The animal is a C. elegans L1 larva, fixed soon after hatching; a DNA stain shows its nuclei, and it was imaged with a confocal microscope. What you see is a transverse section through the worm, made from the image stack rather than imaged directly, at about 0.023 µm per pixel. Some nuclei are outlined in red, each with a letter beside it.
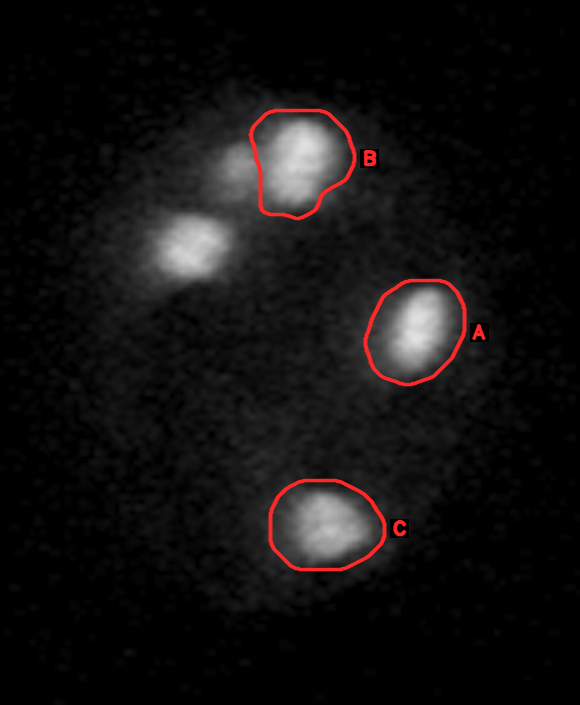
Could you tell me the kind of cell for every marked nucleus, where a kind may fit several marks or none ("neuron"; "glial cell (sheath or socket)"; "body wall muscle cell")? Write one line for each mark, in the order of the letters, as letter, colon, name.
A: glial cell (sheath or socket)
B: neuron
C: body wall muscle cell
